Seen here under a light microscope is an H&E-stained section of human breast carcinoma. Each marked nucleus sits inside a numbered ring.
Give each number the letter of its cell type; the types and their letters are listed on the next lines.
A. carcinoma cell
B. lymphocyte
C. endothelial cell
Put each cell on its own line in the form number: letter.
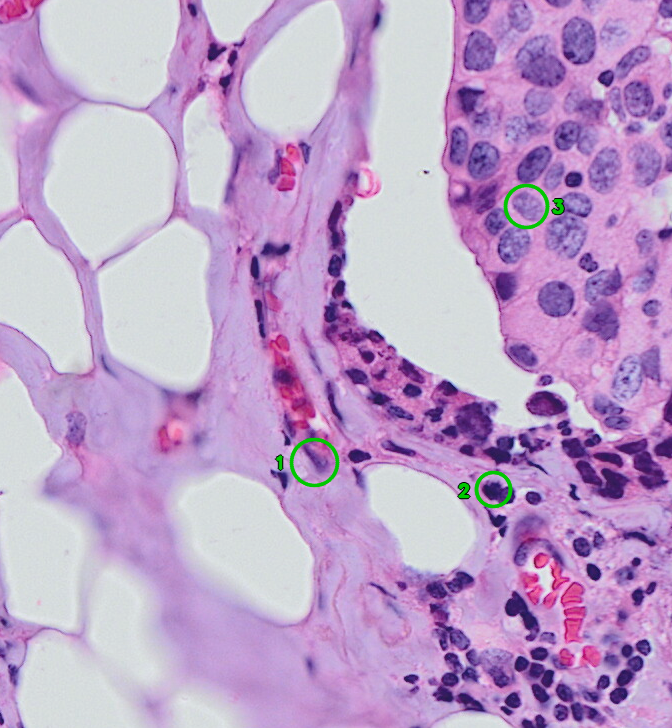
1: C
2: B
3: A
